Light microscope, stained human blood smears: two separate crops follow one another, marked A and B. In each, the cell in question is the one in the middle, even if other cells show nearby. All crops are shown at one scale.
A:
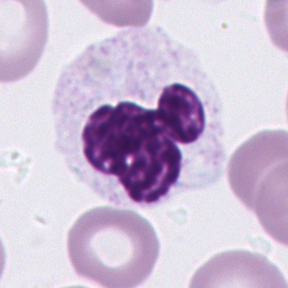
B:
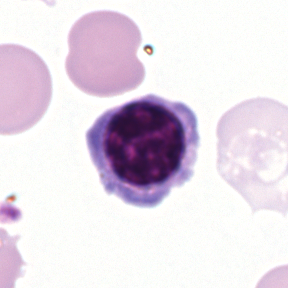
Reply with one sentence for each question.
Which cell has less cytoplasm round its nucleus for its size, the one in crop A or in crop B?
It is the cell in crop B that is filled more by its nucleus.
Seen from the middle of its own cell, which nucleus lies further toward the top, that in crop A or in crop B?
In crop B the nucleus is shifted more toward the top.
